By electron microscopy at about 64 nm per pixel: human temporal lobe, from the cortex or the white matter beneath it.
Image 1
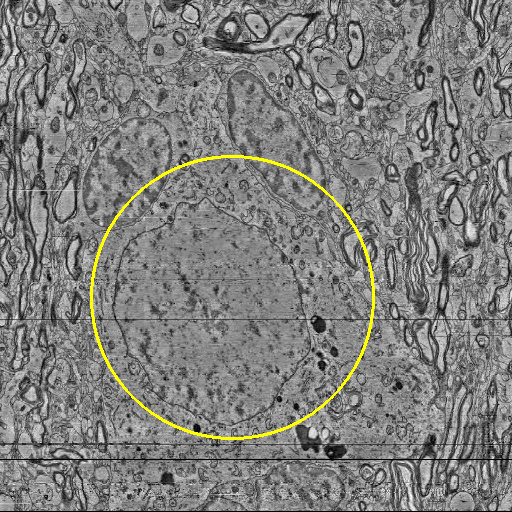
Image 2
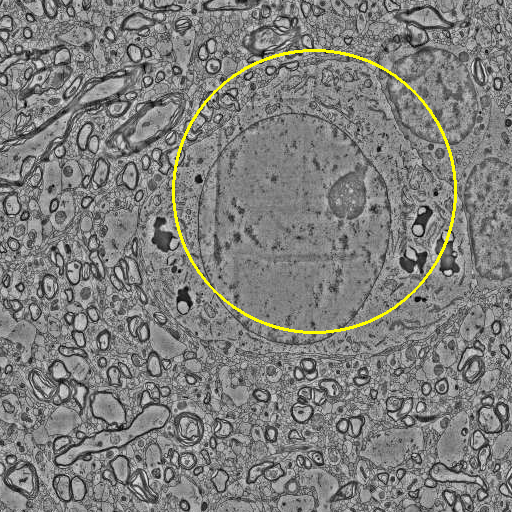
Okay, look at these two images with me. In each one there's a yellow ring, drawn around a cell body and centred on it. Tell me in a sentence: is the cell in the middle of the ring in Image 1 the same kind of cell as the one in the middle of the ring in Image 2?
Yes, they're the same kind of cell.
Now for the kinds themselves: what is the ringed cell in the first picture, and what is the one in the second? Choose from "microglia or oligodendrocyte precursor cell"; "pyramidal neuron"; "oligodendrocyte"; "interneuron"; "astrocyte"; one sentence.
Both cells are the same kind, each one being a pyramidal neuron.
